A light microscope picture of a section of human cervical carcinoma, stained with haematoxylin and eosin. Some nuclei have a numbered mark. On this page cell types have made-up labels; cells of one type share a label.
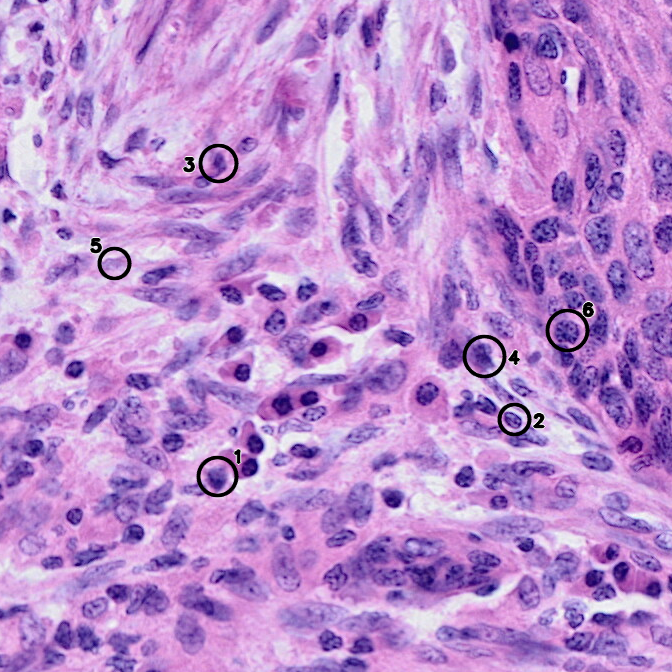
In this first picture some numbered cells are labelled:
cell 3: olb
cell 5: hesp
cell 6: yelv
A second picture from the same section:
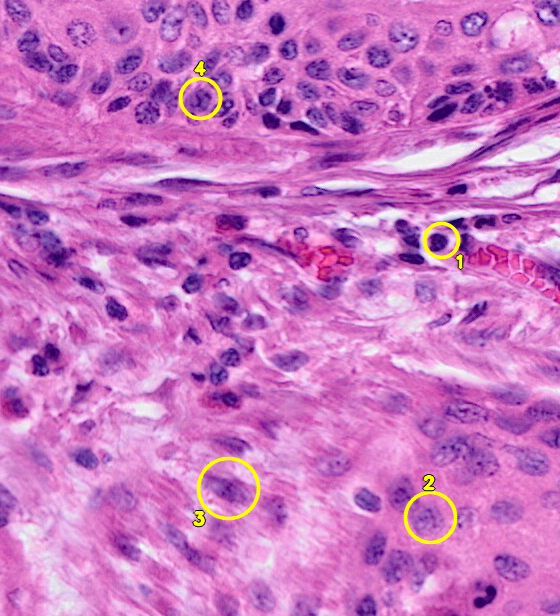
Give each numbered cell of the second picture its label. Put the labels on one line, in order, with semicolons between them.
olb; yelv; hesp; yelv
